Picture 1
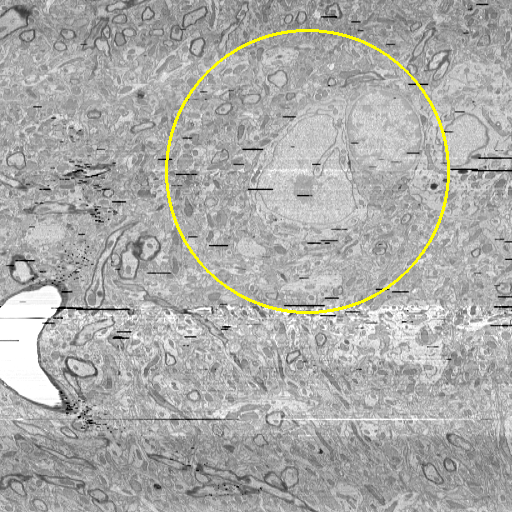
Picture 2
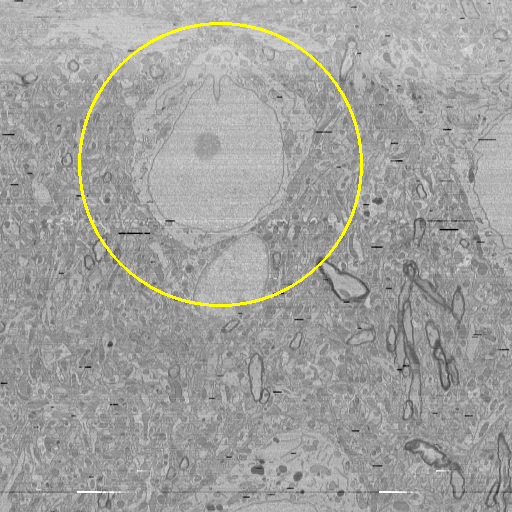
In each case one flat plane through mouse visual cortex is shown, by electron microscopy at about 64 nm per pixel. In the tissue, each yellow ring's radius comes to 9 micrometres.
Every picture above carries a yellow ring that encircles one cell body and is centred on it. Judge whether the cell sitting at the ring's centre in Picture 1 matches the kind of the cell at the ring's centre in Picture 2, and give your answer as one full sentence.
No, the cells centred in the rings of Pictures 1 and 2 belong to two kinds.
